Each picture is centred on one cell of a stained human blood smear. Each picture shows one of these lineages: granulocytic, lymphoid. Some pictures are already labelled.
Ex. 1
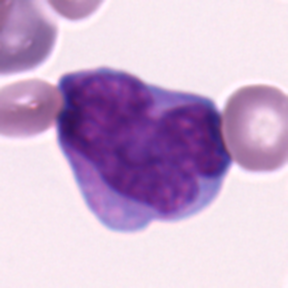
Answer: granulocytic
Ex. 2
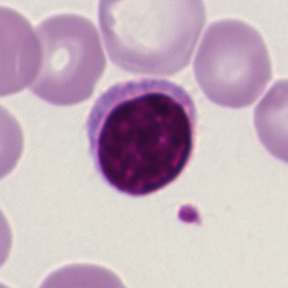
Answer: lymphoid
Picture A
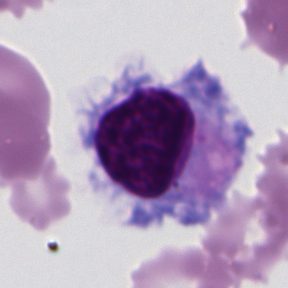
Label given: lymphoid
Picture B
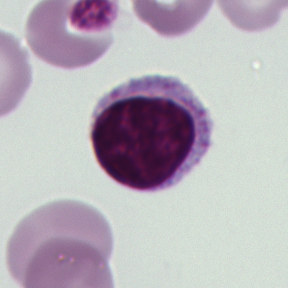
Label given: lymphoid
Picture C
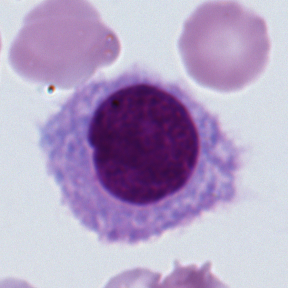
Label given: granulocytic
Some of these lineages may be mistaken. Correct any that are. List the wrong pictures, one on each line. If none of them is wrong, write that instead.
C is labelled granulocytic; correct label: lymphoid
